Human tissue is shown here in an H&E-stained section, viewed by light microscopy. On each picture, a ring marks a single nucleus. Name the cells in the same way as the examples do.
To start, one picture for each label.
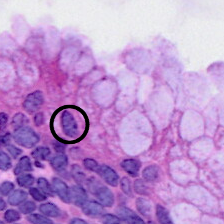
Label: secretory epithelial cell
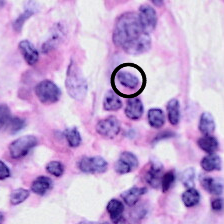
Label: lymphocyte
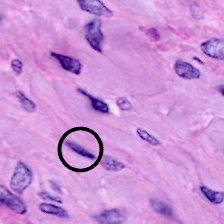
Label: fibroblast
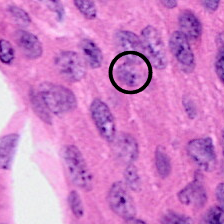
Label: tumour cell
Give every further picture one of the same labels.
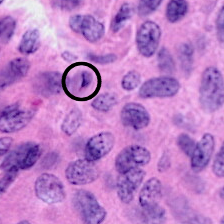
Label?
tumour cell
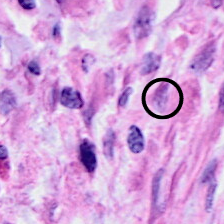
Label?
fibroblast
